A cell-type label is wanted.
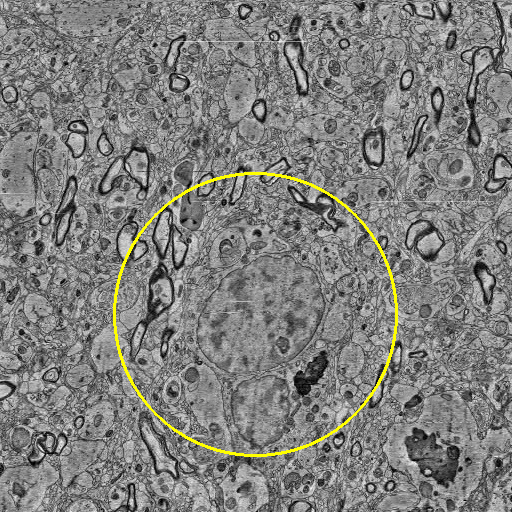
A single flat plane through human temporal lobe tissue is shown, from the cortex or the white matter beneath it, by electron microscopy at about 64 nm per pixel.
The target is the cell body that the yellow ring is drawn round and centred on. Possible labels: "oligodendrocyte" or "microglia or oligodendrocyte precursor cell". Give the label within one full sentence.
Of the labels offered, the cell in the middle of the yellow ring is an oligodendrocyte.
